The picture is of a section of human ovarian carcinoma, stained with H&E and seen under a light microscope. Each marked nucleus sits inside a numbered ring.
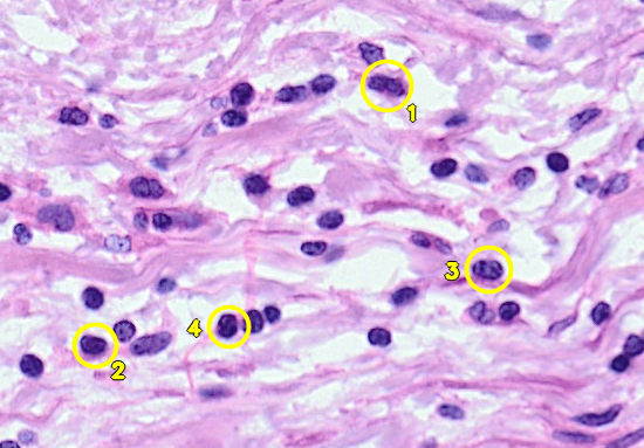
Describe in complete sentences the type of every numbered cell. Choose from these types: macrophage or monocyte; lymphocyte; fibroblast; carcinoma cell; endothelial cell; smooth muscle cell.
Cell 1 is a macrophage or monocyte, cell 2 is a lymphocyte, cell 3 is a lymphocyte and cell 4 is a lymphocyte.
